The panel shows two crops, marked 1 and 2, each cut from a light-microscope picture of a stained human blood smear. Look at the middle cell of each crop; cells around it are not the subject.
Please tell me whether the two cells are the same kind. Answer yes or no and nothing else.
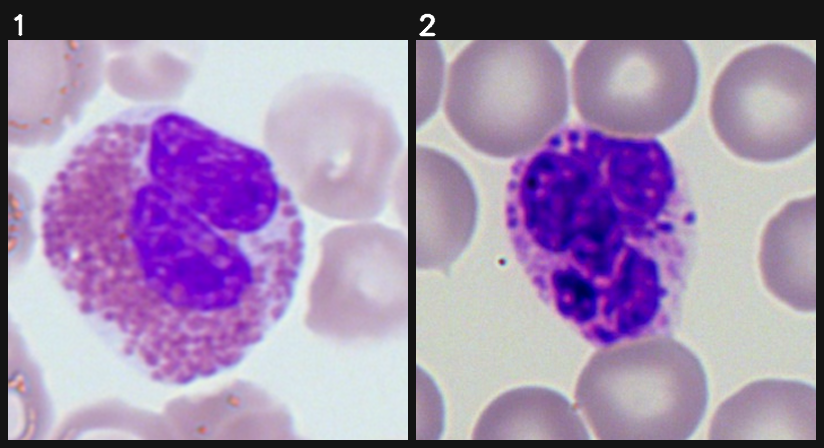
no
